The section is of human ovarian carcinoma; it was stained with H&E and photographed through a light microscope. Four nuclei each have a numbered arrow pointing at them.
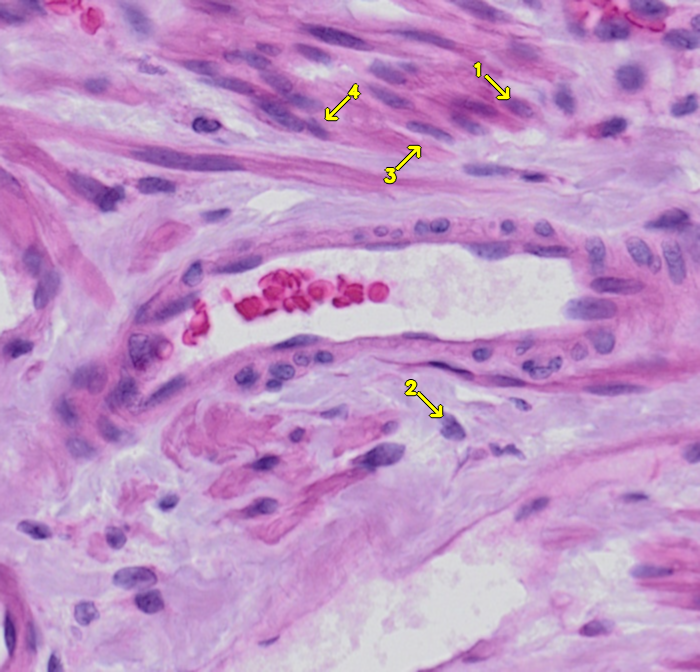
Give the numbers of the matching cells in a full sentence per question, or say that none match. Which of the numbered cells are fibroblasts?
Cell 2 is a fibroblast, and it is the only numbered cell that is.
